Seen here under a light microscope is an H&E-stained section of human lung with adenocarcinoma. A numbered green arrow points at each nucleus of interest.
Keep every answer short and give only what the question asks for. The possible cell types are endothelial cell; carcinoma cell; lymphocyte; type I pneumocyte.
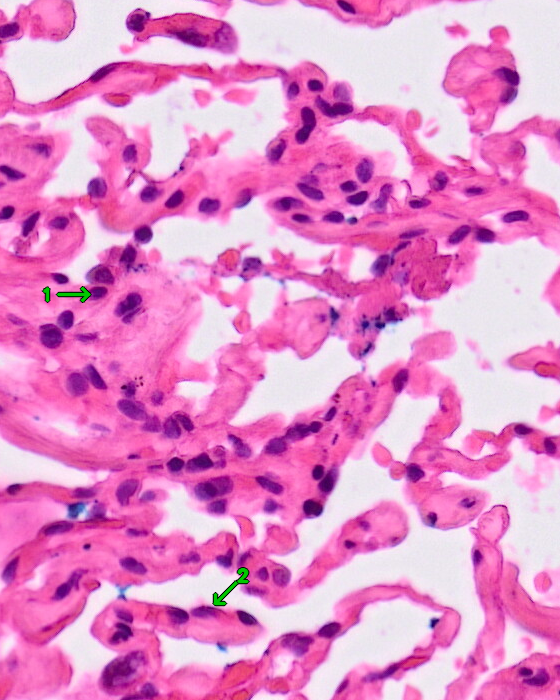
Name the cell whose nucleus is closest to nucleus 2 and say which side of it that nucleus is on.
an endothelial cell to the left of nucleus 2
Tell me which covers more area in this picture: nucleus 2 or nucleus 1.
2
